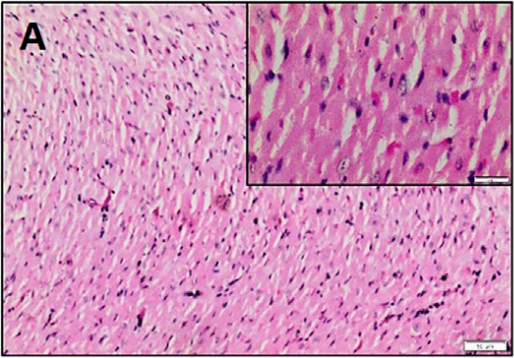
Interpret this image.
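Heart muscle with cardiomyocytes cut lengthwise and obliquely, forming long pink fibres in orderly parallel array. Each fibre holds oval, centrally placed purple nuclei; slender darker nuclei of interstitial cells lie between fibres. The inset shows pink cytoplasm with pale oval nuclei and narrow clefts between neighbouring fibres.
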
